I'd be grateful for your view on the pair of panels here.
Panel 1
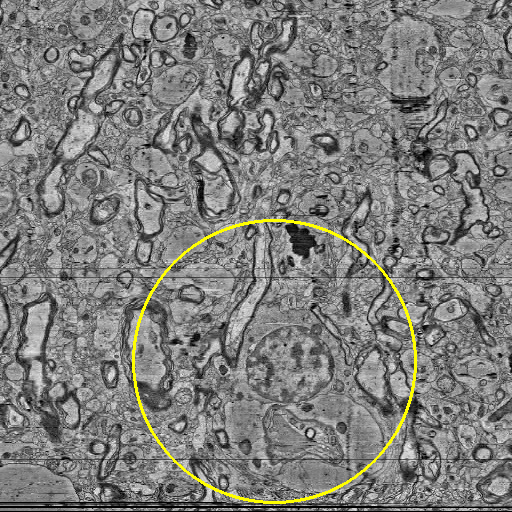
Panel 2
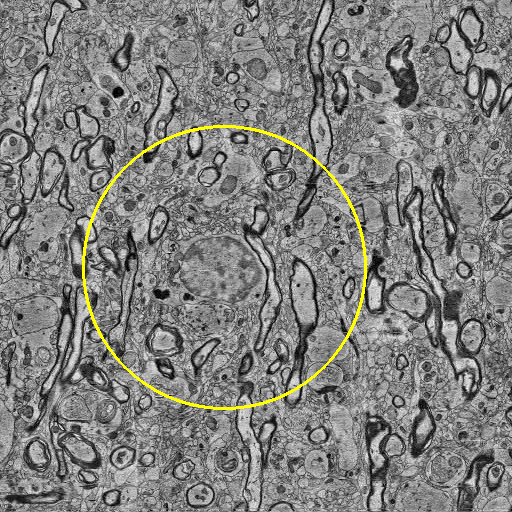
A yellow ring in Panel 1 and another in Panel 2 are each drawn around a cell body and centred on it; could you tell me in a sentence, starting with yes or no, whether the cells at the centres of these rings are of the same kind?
Yes, they are the same kind of cell.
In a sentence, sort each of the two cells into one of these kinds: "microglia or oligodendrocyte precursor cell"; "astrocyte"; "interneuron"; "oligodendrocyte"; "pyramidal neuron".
In the first picture and in the second, the ring is centred on an oligodendrocyte.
